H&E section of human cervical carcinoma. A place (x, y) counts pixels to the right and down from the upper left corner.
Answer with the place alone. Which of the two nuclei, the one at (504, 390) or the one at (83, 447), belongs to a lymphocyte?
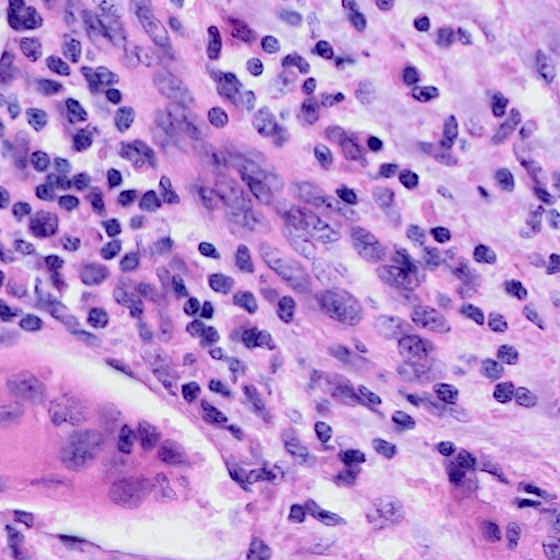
(504, 390)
